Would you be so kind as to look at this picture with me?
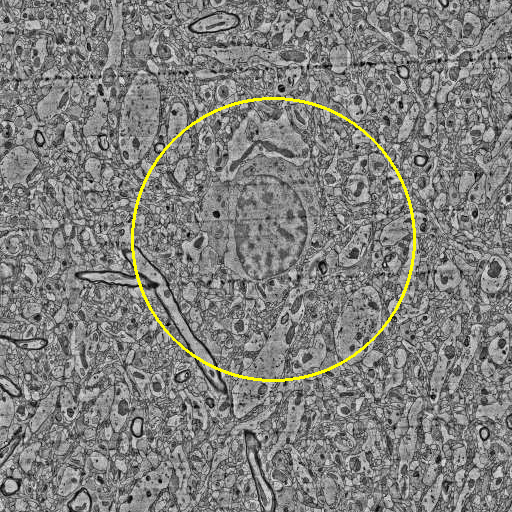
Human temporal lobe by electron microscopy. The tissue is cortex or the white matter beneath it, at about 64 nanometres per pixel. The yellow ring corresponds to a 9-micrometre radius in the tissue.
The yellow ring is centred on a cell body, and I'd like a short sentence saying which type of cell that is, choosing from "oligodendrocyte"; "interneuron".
The cell body in the ring belongs to an oligodendrocyte.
